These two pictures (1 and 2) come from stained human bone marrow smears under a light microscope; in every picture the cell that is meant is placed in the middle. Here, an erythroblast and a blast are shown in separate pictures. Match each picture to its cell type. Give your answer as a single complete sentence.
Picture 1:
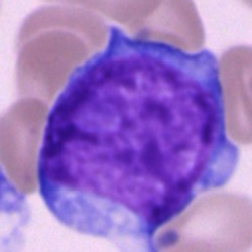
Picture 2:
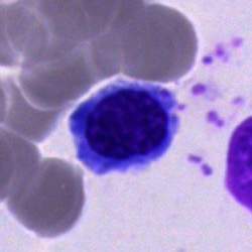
The cell in picture 1 is a blast, and the one in picture 2 is an erythroblast.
